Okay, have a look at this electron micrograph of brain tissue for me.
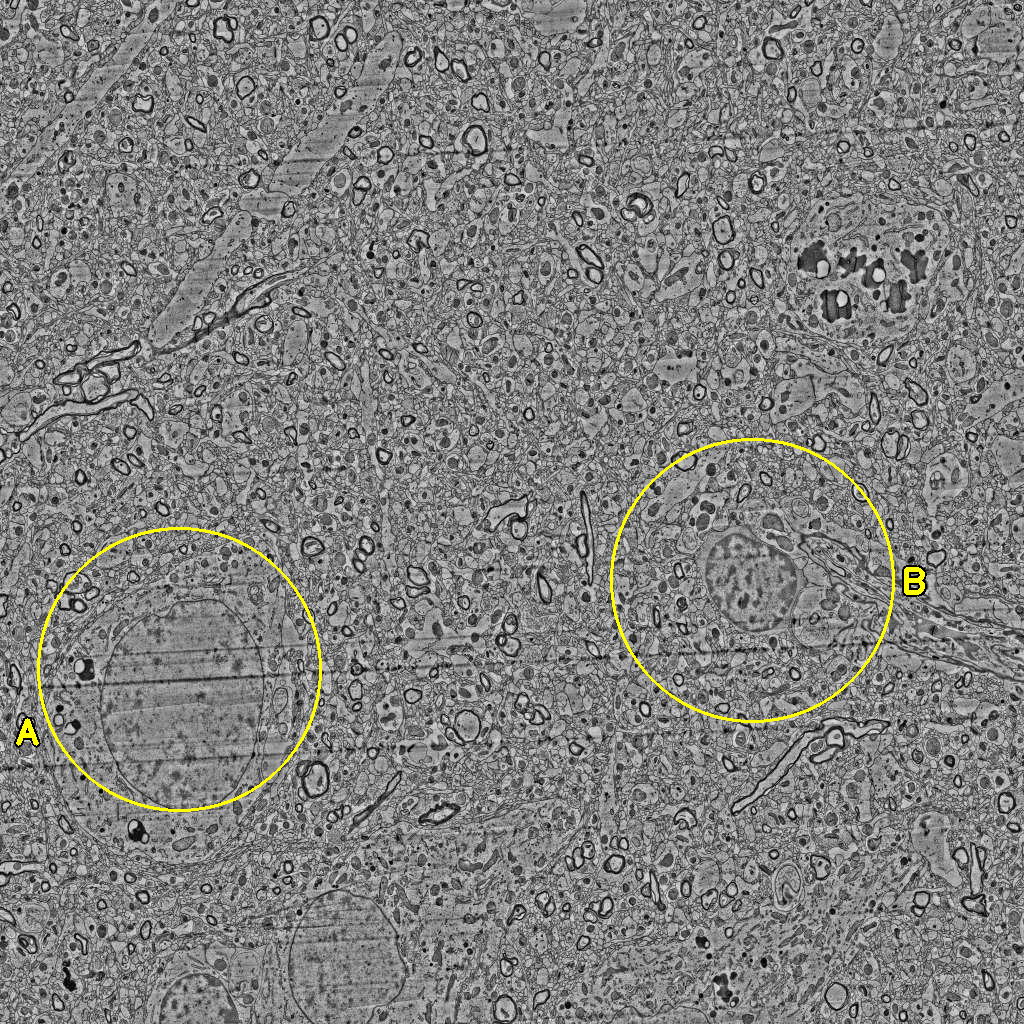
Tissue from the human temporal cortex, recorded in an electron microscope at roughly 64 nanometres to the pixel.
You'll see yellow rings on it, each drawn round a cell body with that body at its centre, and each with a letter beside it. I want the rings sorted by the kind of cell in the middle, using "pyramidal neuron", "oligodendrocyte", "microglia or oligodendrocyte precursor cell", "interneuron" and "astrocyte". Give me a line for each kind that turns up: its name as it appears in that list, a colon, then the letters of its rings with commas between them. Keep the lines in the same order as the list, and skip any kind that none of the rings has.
pyramidal neuron: A
oligodendrocyte: B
